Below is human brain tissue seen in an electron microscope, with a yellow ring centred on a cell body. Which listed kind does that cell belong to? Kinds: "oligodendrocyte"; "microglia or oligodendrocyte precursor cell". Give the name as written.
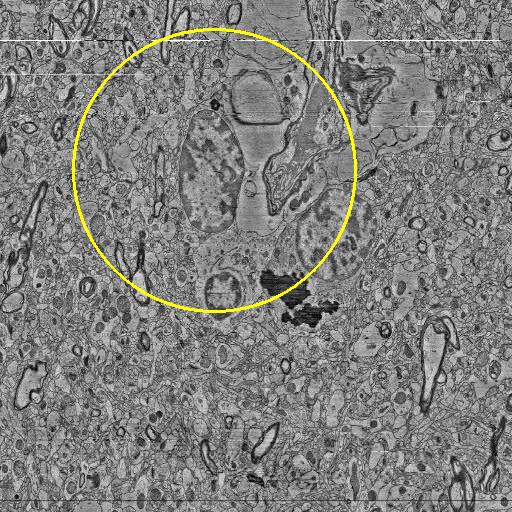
microglia or oligodendrocyte precursor cell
